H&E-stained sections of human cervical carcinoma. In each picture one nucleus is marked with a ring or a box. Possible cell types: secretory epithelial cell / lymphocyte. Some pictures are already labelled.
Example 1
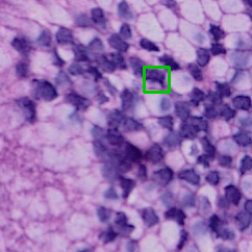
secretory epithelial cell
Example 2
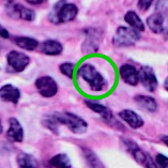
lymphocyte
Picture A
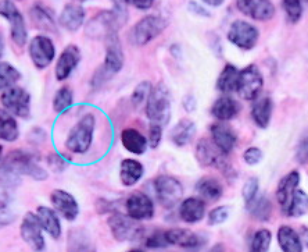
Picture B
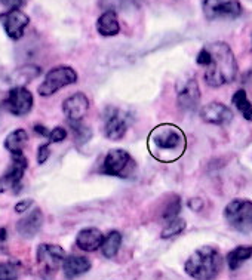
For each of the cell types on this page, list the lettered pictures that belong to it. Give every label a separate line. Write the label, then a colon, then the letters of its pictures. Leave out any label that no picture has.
lymphocyte: A, B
